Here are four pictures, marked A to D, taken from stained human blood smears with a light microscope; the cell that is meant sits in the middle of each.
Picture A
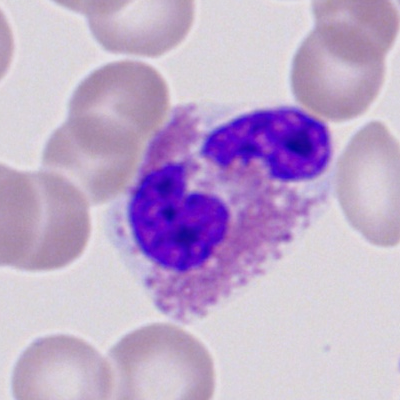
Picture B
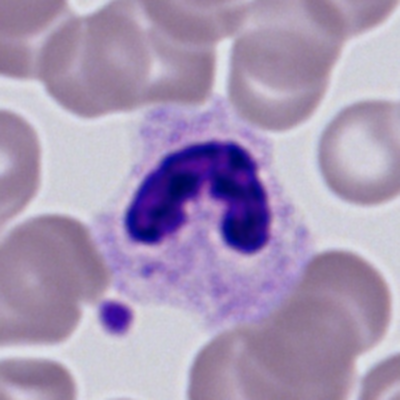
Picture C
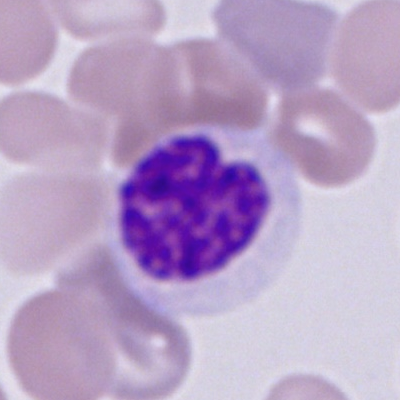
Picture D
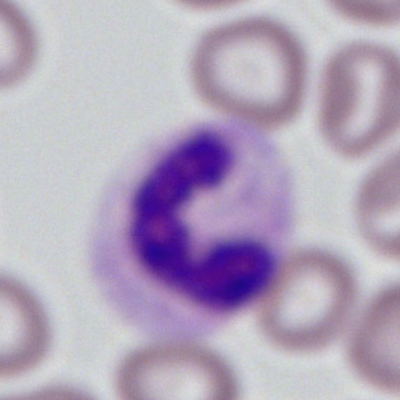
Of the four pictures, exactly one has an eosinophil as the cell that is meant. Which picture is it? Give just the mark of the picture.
A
